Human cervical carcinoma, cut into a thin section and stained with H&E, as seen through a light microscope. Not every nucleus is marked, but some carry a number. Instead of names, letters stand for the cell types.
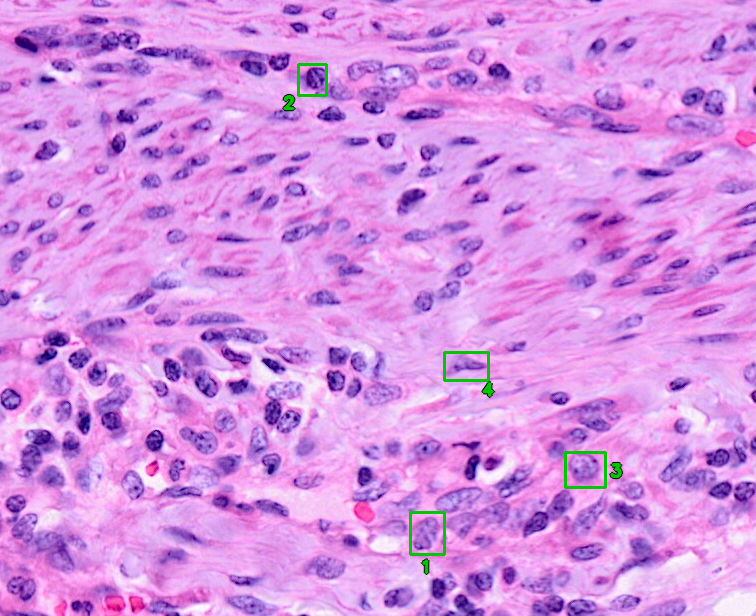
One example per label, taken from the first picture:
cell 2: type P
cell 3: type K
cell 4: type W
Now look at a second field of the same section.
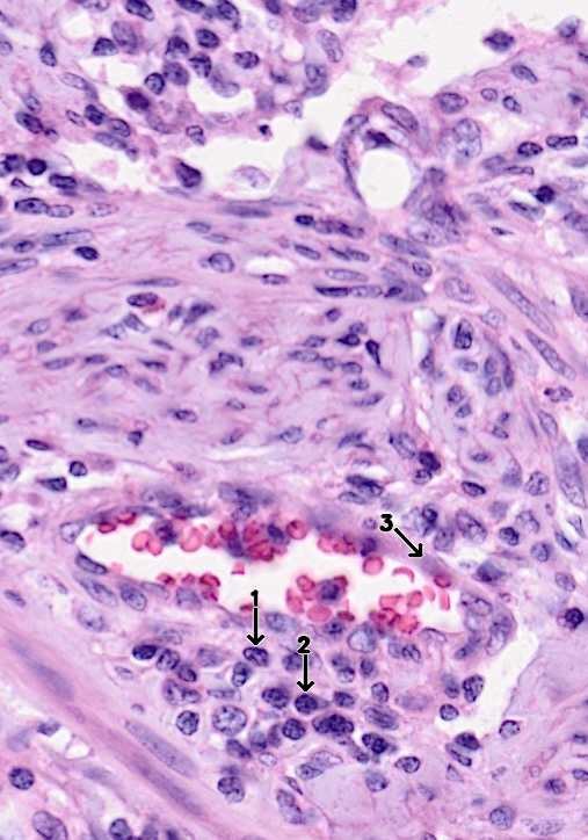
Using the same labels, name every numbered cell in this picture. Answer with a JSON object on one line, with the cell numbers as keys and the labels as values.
{"1": "type P", "2": "type P", "3": "type K"}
